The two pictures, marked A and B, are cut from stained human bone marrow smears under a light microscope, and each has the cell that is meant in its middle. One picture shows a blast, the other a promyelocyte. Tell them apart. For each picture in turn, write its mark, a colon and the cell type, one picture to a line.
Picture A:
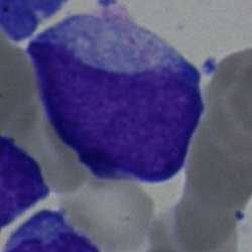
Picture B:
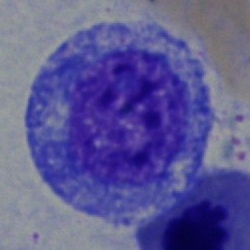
A: blast
B: promyelocyte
